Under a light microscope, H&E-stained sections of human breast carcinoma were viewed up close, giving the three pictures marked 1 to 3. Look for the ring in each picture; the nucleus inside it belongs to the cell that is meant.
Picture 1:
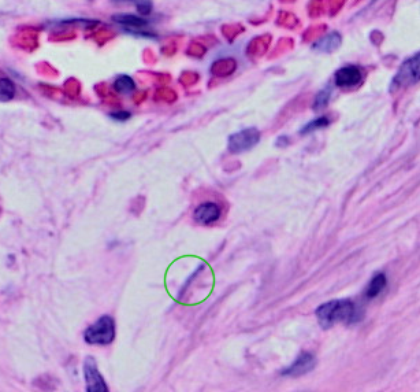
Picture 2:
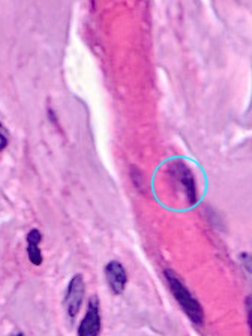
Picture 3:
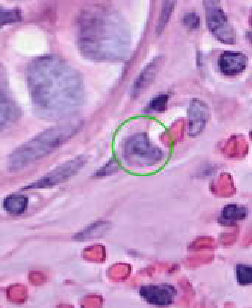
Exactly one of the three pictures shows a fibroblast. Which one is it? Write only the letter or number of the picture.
1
